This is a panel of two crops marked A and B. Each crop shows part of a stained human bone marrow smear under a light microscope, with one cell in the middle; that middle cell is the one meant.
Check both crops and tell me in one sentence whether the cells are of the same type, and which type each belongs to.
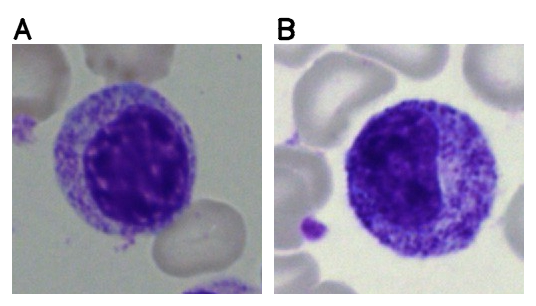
Yes, the two central cells, one per crop, are myelocytes.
